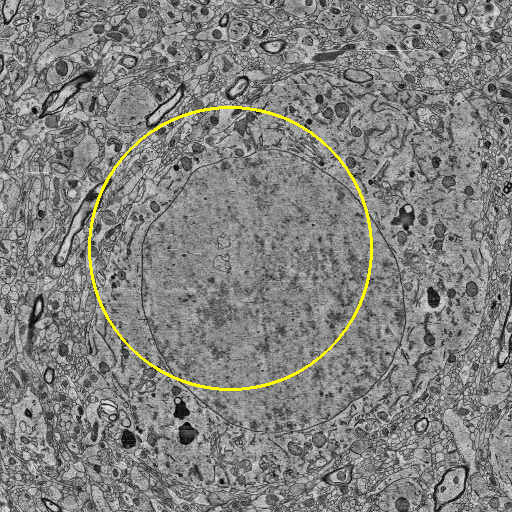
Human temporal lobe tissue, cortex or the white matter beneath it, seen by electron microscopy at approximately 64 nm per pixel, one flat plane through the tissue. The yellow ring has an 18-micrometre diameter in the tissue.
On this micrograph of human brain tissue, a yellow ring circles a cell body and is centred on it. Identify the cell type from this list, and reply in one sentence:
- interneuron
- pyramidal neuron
The cell at the centre is a pyramidal neuron.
